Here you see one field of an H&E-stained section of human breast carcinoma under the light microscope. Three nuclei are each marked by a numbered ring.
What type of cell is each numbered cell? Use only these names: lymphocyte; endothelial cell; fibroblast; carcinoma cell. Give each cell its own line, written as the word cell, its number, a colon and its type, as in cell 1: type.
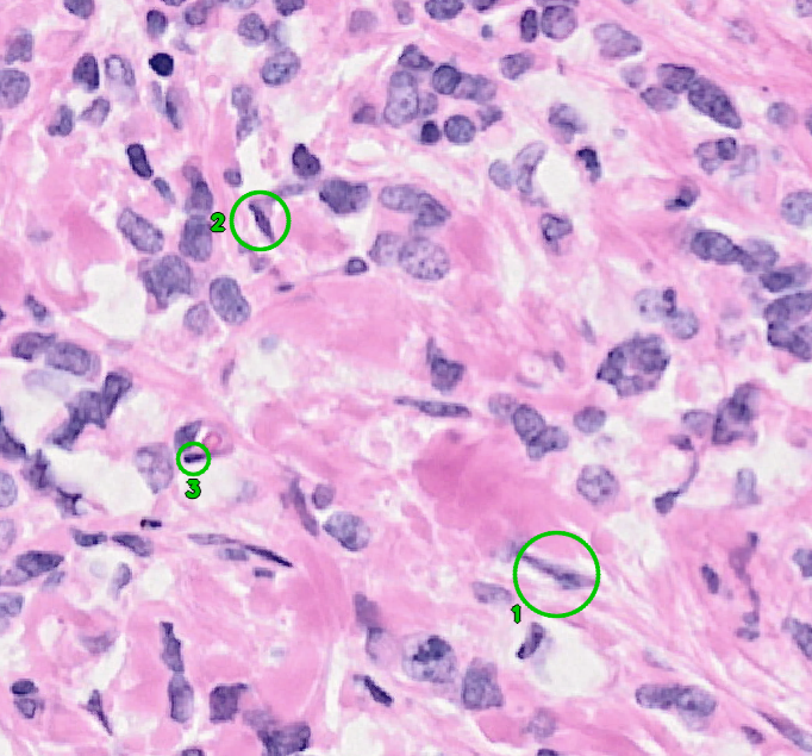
cell 1: fibroblast
cell 2: fibroblast
cell 3: endothelial cell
